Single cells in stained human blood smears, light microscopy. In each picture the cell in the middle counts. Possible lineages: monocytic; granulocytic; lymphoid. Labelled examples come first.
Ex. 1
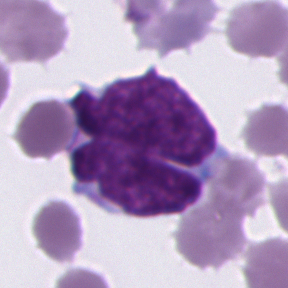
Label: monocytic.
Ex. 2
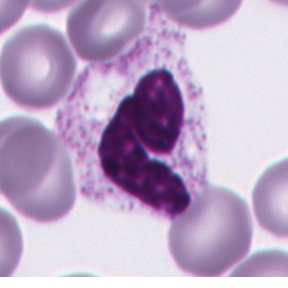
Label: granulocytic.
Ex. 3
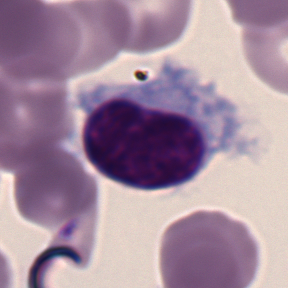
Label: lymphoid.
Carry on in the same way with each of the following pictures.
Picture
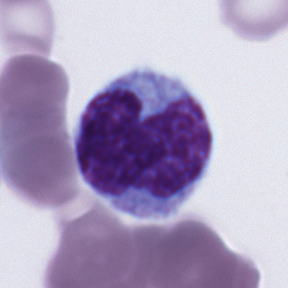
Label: monocytic.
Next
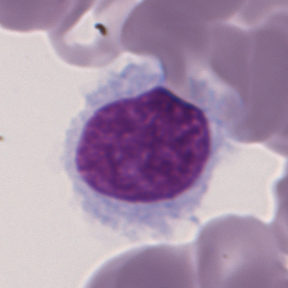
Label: lymphoid.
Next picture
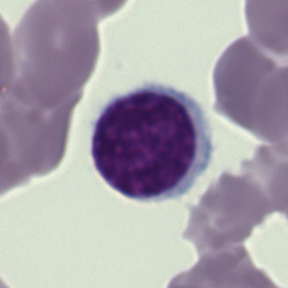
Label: lymphoid.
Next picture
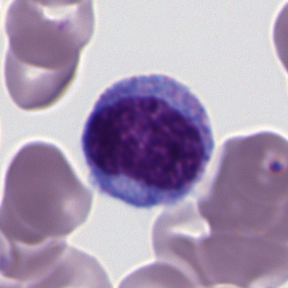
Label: monocytic.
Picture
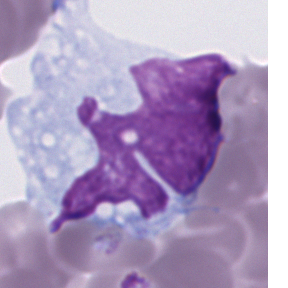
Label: monocytic.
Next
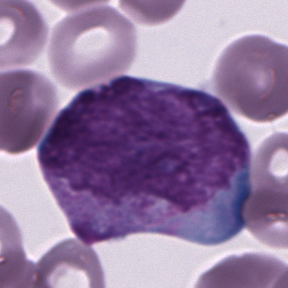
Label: granulocytic.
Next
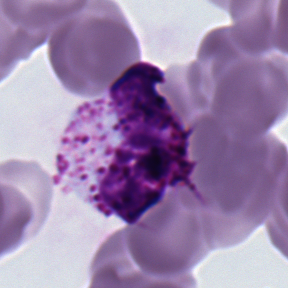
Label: granulocytic.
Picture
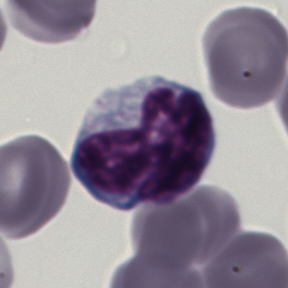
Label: lymphoid.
